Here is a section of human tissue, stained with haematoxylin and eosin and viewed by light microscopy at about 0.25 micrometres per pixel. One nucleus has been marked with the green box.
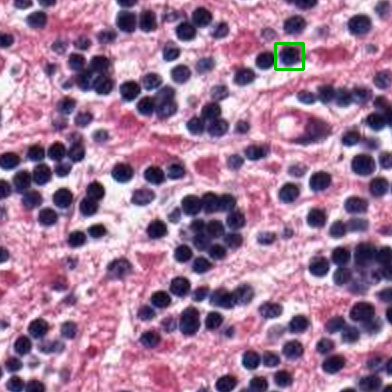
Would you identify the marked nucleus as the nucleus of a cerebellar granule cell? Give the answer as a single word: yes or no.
yes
